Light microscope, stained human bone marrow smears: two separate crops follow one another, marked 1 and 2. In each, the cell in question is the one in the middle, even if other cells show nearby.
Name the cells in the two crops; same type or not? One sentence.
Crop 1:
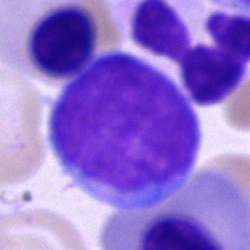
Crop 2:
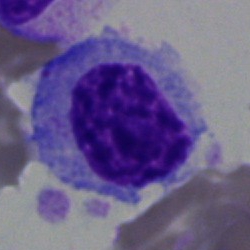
No, in crop 1 there is a blast, and in crop 2 there is a hairy cell.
